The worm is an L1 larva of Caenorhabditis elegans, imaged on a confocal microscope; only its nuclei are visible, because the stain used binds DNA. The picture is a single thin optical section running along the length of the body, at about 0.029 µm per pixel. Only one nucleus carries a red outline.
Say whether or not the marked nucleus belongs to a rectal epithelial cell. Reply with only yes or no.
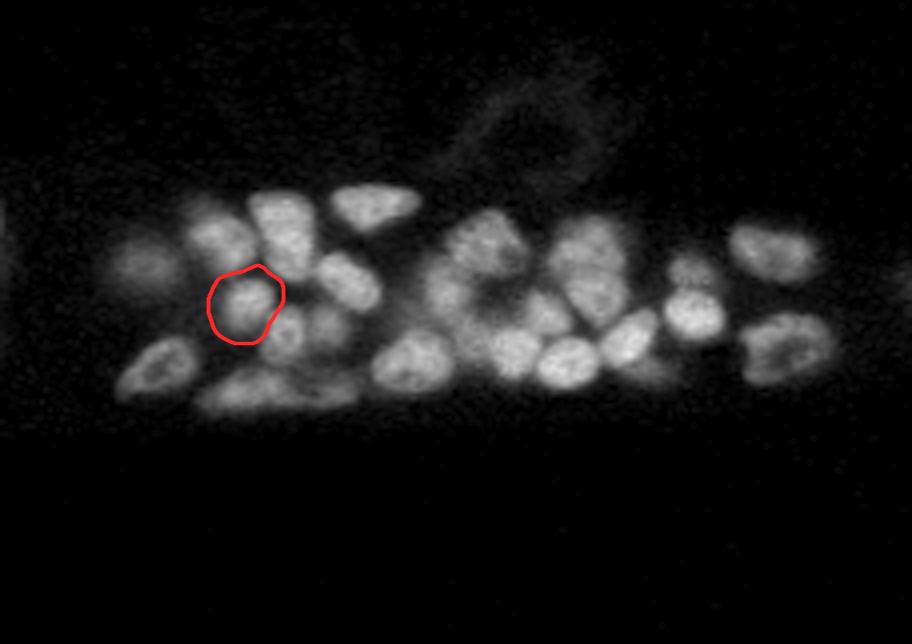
no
